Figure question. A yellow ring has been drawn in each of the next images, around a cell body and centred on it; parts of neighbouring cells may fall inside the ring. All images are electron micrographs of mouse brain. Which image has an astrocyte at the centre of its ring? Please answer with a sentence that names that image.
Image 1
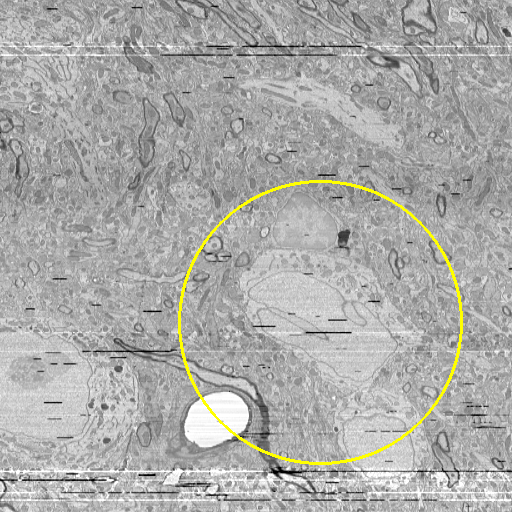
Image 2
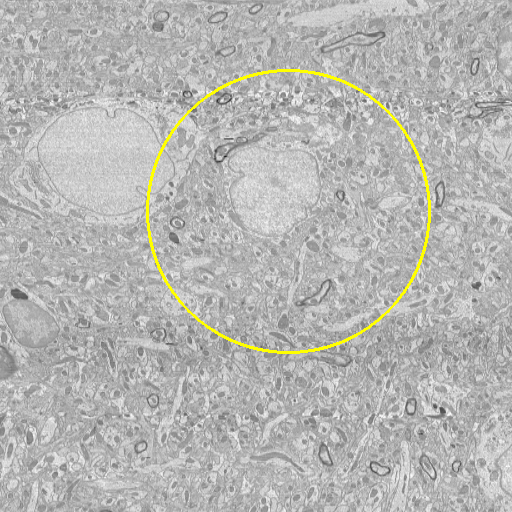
The cell at the centre of the ring in Image 2 is of that kind.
